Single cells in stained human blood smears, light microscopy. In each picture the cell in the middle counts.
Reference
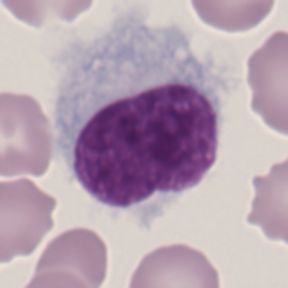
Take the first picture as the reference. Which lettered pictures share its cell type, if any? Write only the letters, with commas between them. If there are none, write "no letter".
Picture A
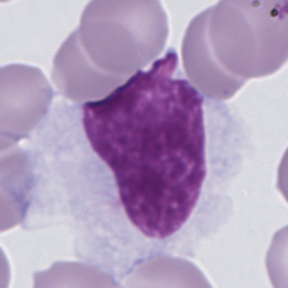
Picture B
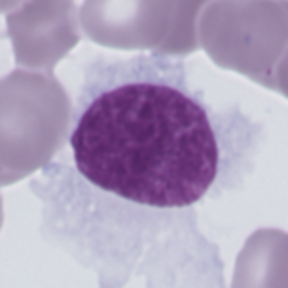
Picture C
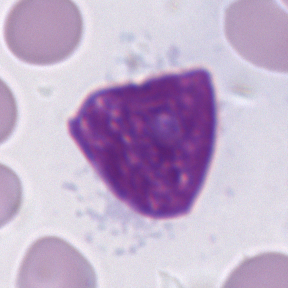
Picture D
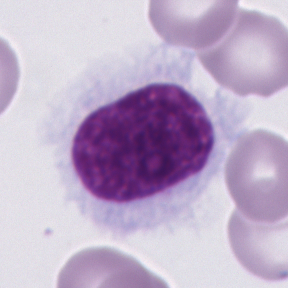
A, B, D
